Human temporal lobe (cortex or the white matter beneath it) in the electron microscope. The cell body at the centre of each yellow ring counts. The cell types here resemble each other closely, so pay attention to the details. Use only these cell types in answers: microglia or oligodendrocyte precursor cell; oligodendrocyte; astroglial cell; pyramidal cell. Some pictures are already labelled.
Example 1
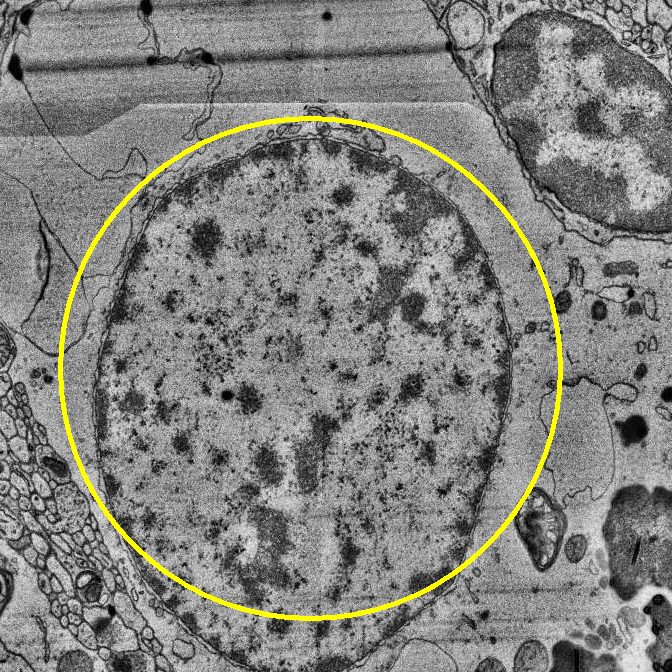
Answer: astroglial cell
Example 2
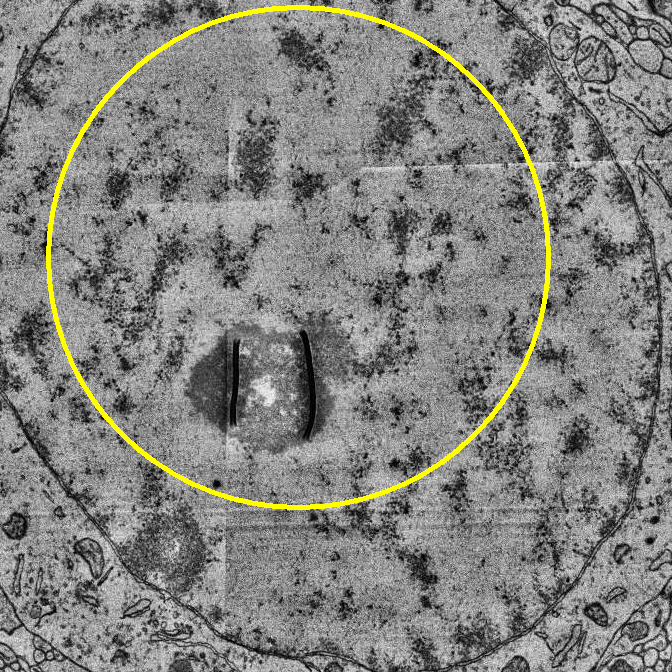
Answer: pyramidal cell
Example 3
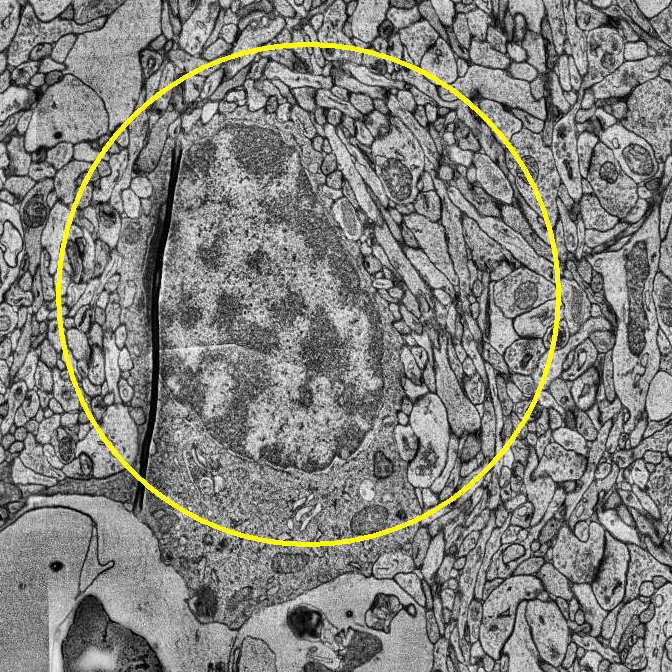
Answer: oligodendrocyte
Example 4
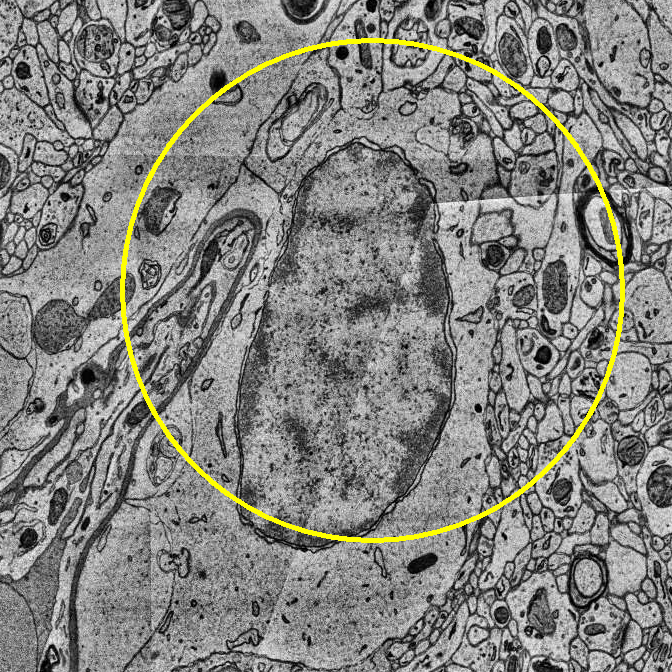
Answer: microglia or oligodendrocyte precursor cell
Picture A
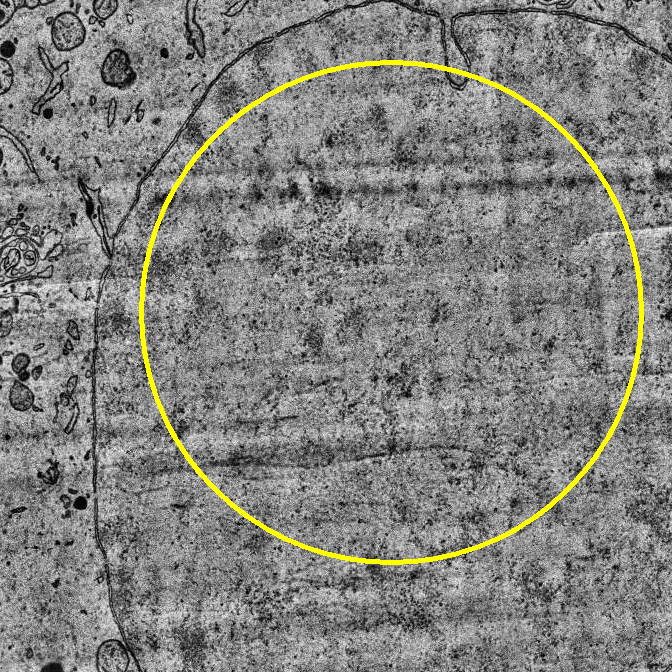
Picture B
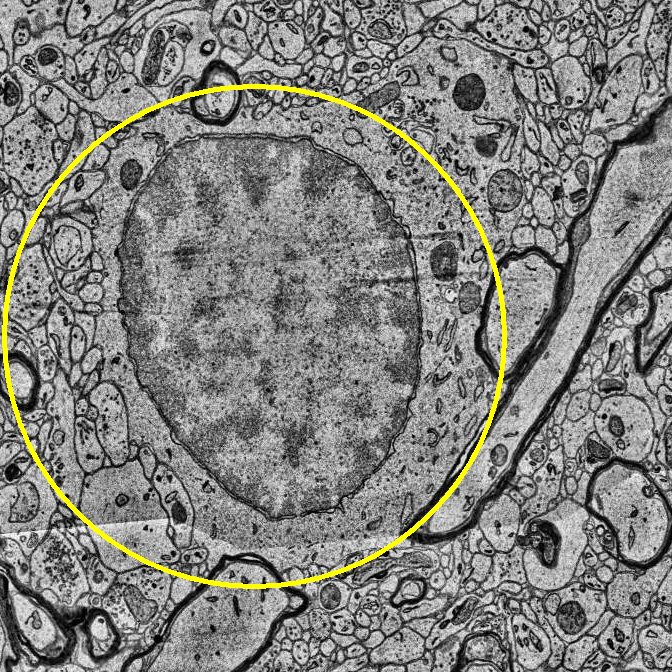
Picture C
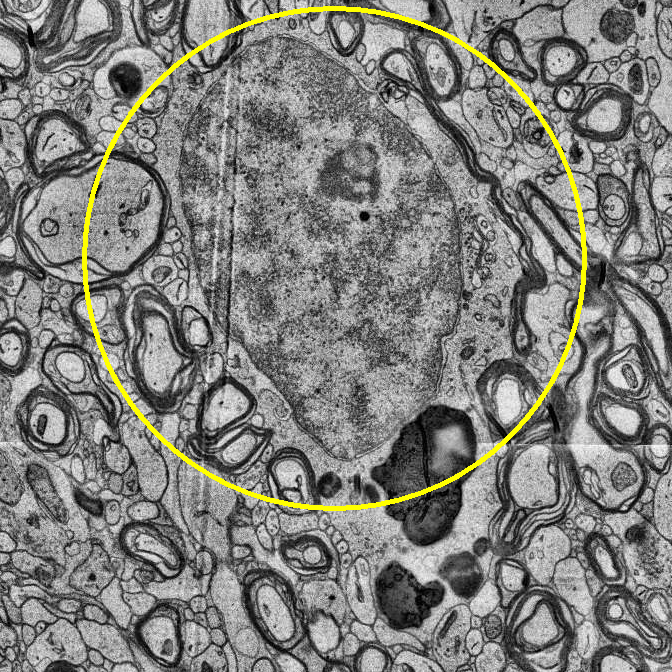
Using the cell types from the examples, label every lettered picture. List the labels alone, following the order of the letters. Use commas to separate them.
pyramidal cell, oligodendrocyte, oligodendrocyte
